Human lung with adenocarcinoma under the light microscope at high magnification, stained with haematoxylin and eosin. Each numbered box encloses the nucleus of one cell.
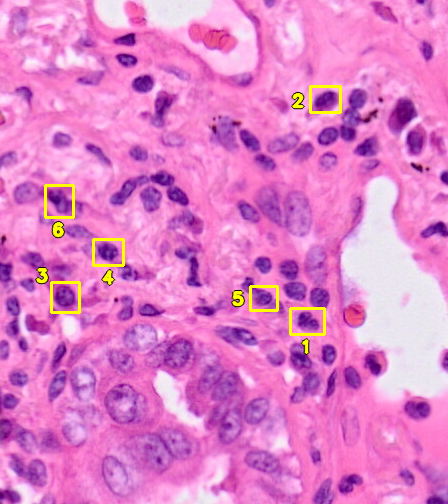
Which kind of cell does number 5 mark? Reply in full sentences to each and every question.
In this section, the cell numbered 5 is a lymphocyte.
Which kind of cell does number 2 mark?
The cell carrying label 2 is identified as a plasma cell.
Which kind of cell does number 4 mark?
The cell referred to as 4 is a lymphocyte.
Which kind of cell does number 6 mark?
Recognised here as a plasma cell is the cell numbered 6.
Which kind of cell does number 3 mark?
Among the marked cells, number 3 is a plasma cell.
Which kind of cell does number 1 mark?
The cell given label 1 is a lymphocyte.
